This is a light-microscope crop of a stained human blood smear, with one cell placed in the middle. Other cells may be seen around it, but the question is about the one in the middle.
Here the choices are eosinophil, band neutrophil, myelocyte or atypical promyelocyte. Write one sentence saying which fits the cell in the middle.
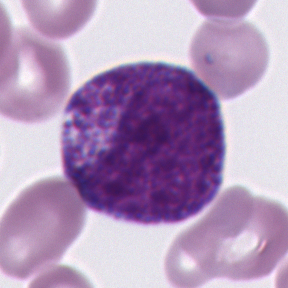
The cell at the centre of the field is a myelocyte.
